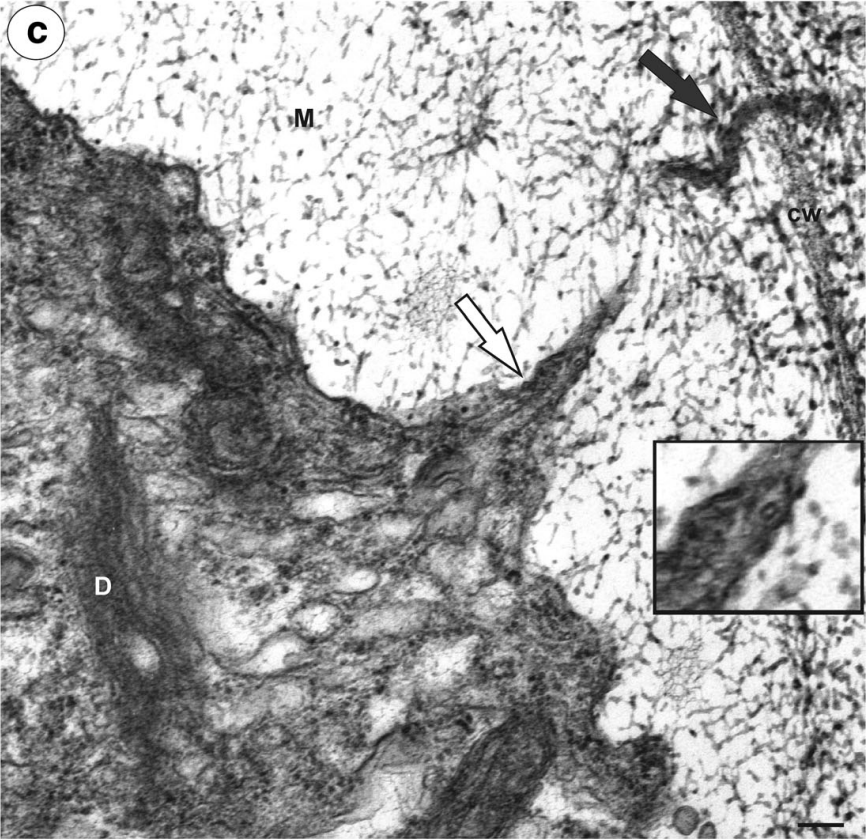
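Edge of a mucilage cell meeting the pale fibrillar mucilage and the cell wall. The cytoplasm at left is dense and holds a long dictyosome and many pale vesicles. A thin cytoplasmic bridge tapers out from the cell surface across the mucilage toward the wall. Near the wall a dark plasmodesma lies partly embedded in the mucilage. An enlarged view of the bridge shows a small ring-shaped microtubule profile.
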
